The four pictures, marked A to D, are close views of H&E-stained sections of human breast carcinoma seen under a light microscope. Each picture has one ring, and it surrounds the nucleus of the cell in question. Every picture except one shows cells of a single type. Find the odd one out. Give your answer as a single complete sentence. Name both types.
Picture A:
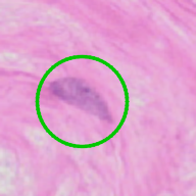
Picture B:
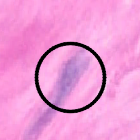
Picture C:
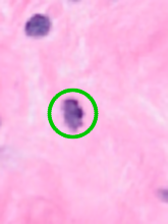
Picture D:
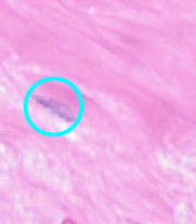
The others show fibroblasts, but picture C shows a lymphocyte.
